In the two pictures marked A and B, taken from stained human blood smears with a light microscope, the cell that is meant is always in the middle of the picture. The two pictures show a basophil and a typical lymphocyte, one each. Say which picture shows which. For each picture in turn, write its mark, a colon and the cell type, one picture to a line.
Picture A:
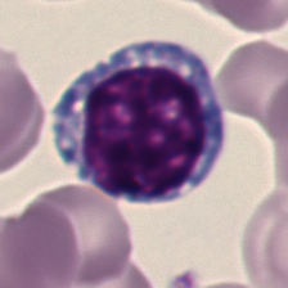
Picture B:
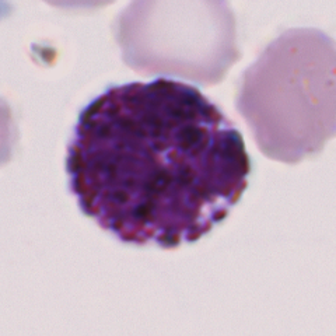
A: typical lymphocyte
B: basophil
